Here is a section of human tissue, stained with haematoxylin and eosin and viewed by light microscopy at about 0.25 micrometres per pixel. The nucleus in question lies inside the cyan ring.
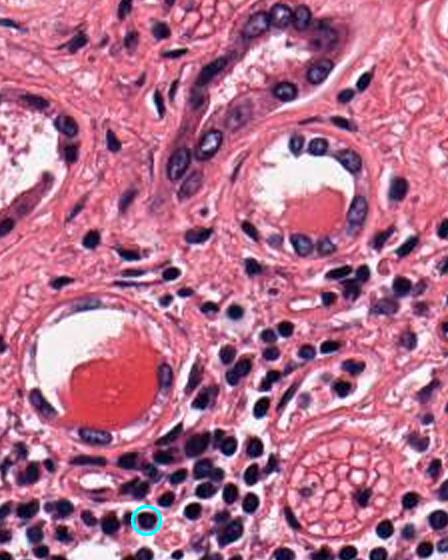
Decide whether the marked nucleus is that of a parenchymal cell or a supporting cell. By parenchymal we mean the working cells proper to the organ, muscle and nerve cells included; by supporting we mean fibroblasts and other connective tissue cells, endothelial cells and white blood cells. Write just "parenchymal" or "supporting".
supporting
